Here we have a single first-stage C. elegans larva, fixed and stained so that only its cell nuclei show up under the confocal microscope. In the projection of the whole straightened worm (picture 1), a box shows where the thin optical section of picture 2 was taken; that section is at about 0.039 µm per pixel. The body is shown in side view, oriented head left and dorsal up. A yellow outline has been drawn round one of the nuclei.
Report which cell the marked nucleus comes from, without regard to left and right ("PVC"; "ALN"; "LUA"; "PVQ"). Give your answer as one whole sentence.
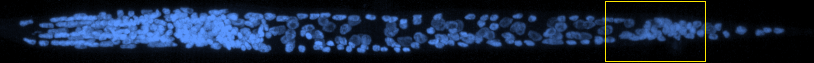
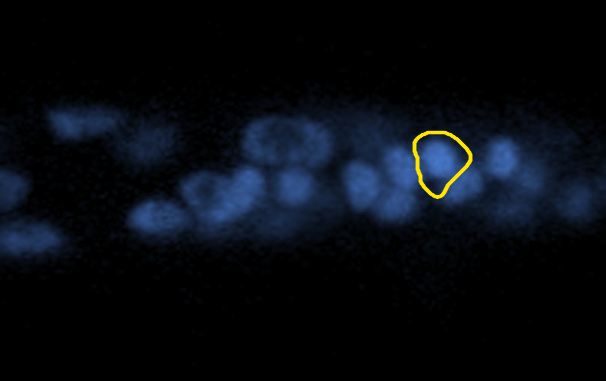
This is the nucleus of LUA, a neuron.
